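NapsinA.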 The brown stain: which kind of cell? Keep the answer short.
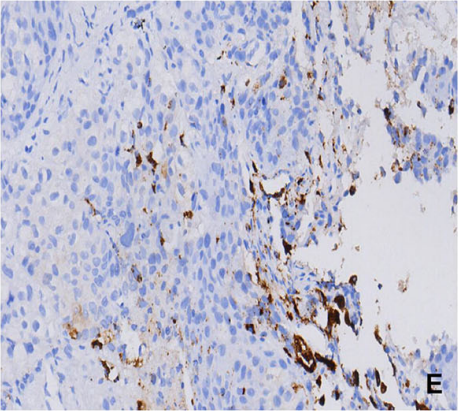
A: Alveolar epithelial cells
